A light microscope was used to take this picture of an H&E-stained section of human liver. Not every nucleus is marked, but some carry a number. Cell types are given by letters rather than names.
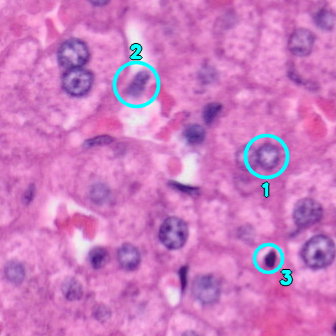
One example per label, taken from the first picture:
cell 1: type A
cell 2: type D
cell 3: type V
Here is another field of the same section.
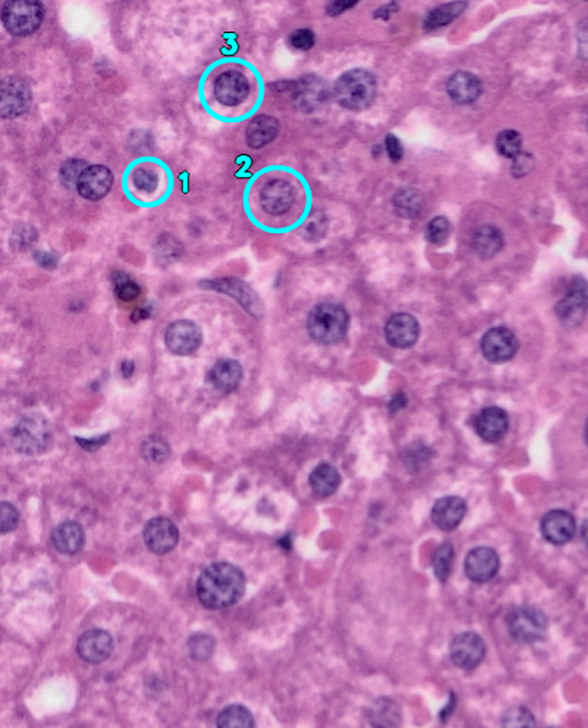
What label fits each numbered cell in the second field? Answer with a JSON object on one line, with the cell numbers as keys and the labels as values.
{"1": "type V", "2": "type A", "3": "type A"}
